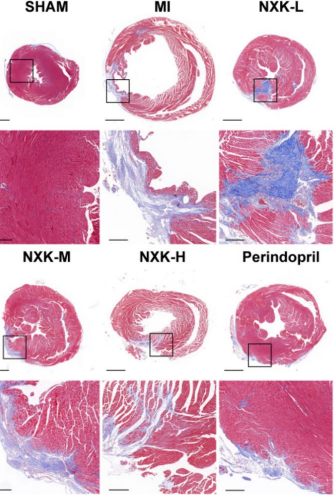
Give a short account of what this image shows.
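In some hearts the ventricular cavity is wide and parts of the wall are thin, and in the enlargements of those regions the red muscle fibres are broken up and largely replaced by loose blue-stained fibrous tissue. In other sections the wall is thick and mostly red, with only narrow bands of blue between muscle bundles. The amount of blue, scar-like tissue therefore varies clearly from one section to the next.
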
